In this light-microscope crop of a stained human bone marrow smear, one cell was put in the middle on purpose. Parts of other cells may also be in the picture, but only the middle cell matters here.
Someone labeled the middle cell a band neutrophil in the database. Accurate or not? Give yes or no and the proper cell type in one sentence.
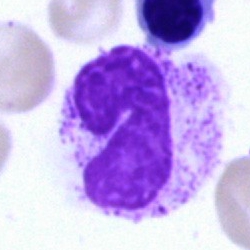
Yes, the middle cell here is a band neutrophil.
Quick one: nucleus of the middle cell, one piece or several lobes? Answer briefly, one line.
The cell carries one compact nucleus shaped round, oval or like a kidney.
